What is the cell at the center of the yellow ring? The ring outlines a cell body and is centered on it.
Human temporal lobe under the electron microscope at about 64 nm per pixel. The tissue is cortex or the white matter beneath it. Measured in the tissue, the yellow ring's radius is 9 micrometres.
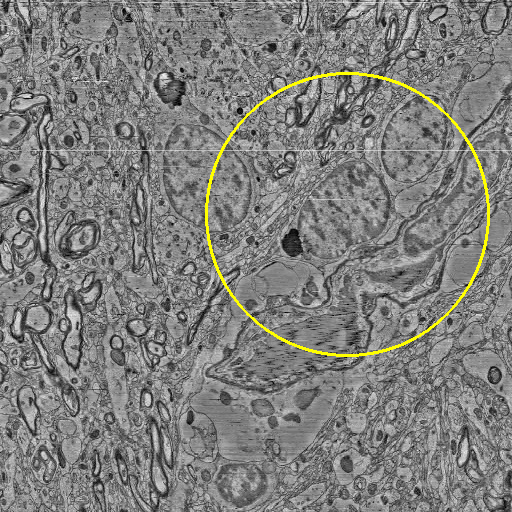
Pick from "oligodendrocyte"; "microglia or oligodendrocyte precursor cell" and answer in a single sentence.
The yellow ring is centered on an oligodendrocyte.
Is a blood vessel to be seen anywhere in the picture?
Yes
